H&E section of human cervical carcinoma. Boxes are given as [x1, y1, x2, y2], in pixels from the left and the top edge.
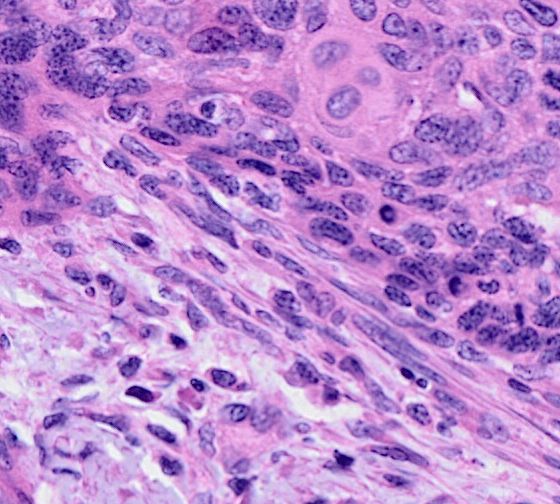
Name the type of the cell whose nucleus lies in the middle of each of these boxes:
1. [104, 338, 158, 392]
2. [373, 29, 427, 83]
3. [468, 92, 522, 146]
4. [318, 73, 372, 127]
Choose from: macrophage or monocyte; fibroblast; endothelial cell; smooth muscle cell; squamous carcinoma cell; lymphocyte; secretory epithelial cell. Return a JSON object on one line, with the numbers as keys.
{"1": "lymphocyte", "2": "squamous carcinoma cell", "3": "squamous carcinoma cell", "4": "squamous carcinoma cell"}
